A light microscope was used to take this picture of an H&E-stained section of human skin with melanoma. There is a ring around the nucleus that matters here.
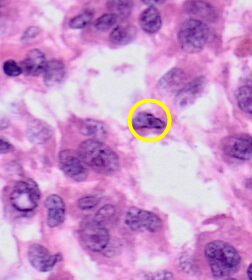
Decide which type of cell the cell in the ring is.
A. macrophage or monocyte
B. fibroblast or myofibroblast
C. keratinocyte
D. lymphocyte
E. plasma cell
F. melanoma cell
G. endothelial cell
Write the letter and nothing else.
A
